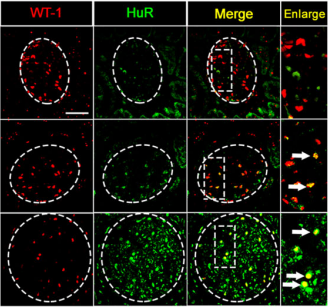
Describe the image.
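In the top row the green signal is sparse and faint, while in the lower rows green dots become numerous and in the bottom row fill much of the glomerulus. Fewer red nuclei are seen in the bottom glomerulus. Enlarged boxes show red nuclei that turn yellow where green overlaps, marked by white arrows.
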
